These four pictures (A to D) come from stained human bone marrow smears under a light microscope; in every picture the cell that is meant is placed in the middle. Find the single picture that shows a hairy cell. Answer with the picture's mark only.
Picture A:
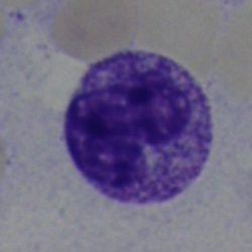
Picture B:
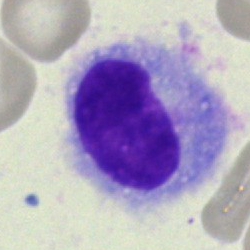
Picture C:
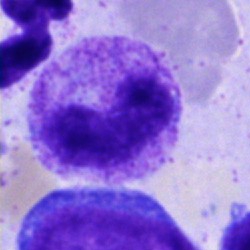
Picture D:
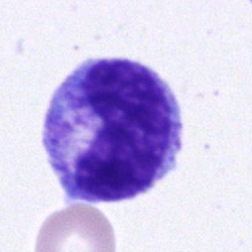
B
